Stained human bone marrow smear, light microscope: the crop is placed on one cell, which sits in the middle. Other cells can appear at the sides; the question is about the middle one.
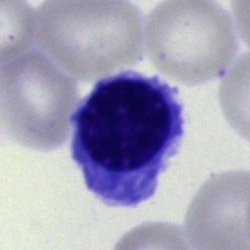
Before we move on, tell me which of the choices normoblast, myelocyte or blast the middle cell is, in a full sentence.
The cell under consideration, at the middle of the crop, is a normoblast.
